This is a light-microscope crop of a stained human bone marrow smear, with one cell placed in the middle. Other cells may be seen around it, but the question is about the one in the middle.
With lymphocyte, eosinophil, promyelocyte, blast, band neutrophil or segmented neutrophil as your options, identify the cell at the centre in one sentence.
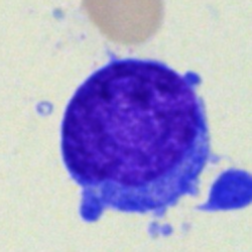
The centrally placed cell is classified as a blast.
